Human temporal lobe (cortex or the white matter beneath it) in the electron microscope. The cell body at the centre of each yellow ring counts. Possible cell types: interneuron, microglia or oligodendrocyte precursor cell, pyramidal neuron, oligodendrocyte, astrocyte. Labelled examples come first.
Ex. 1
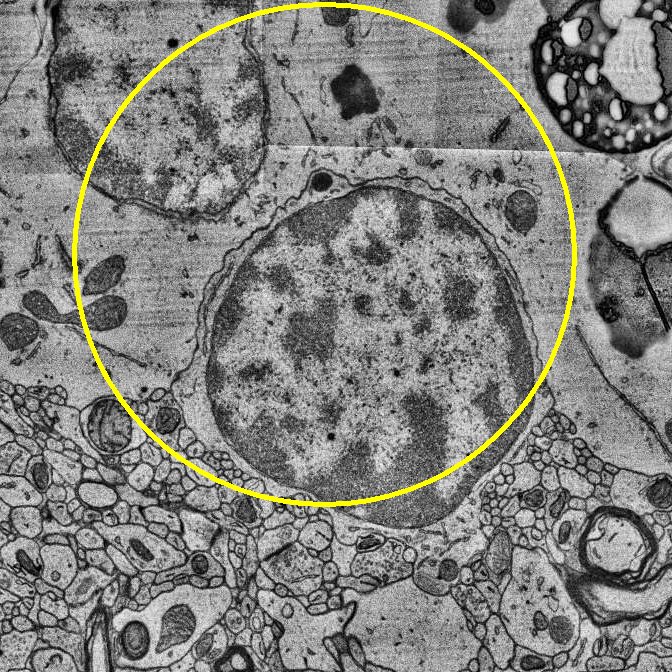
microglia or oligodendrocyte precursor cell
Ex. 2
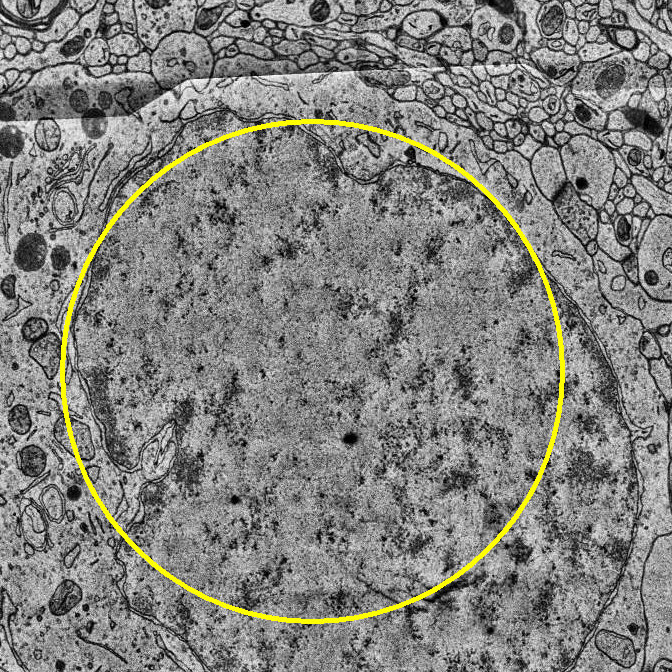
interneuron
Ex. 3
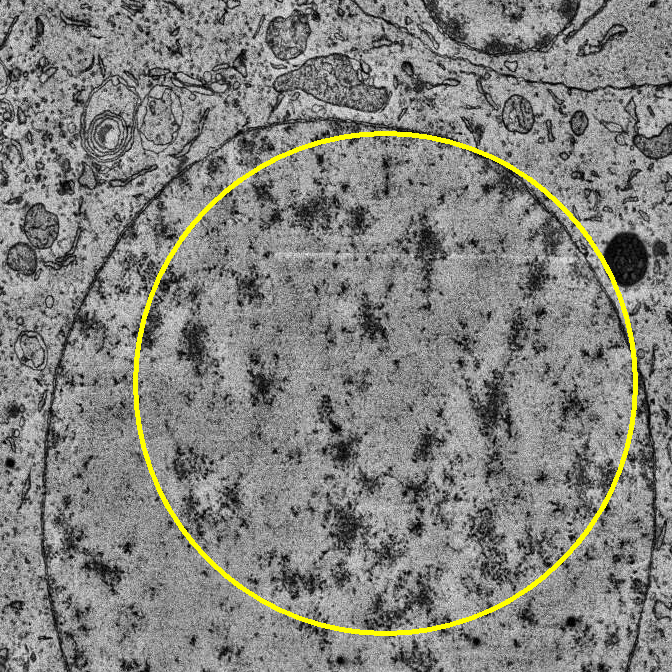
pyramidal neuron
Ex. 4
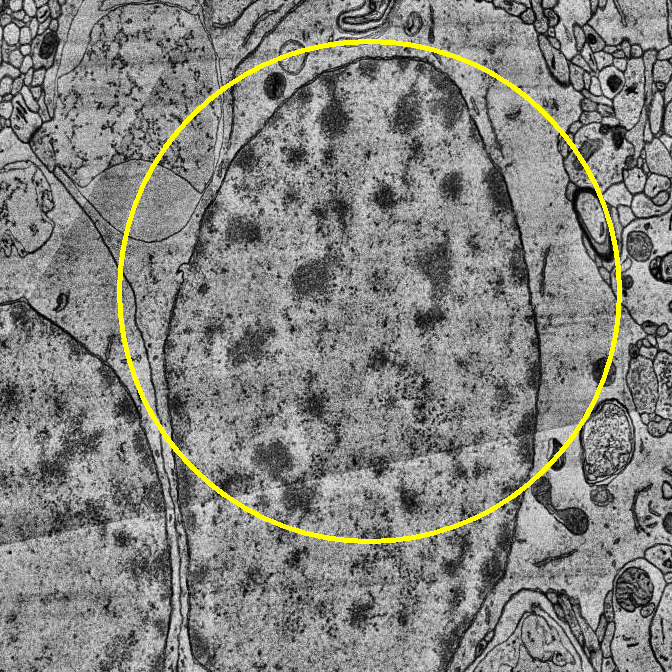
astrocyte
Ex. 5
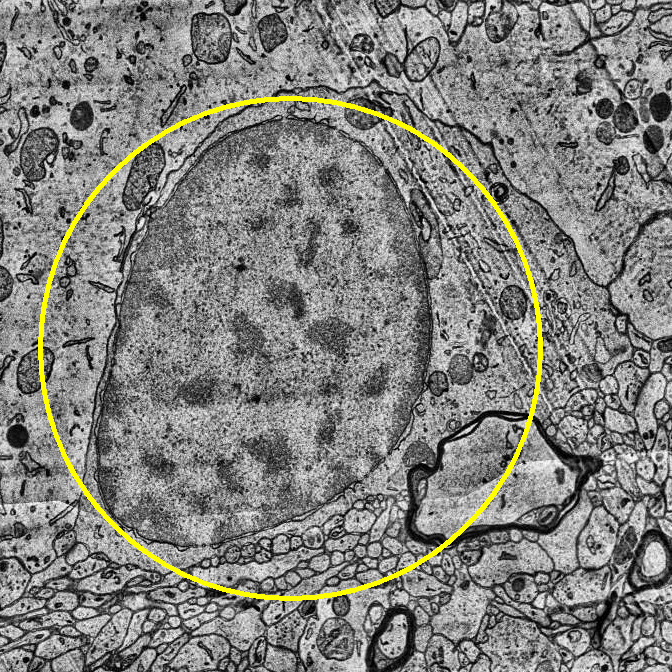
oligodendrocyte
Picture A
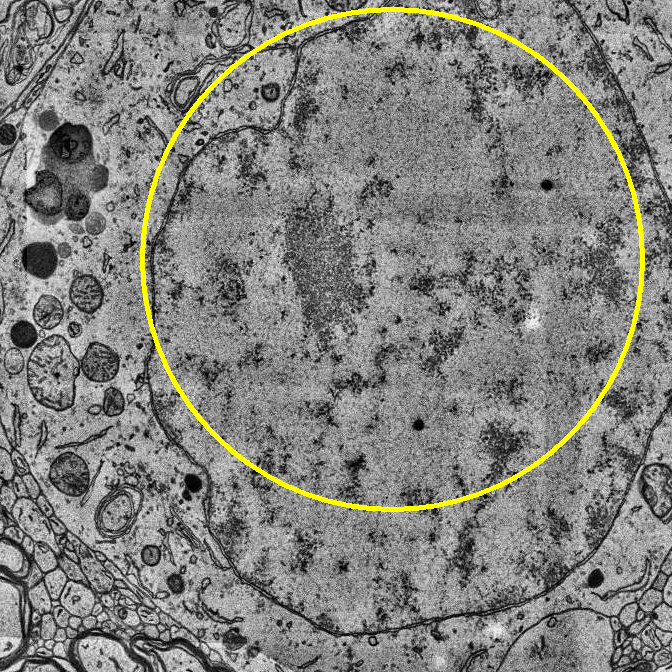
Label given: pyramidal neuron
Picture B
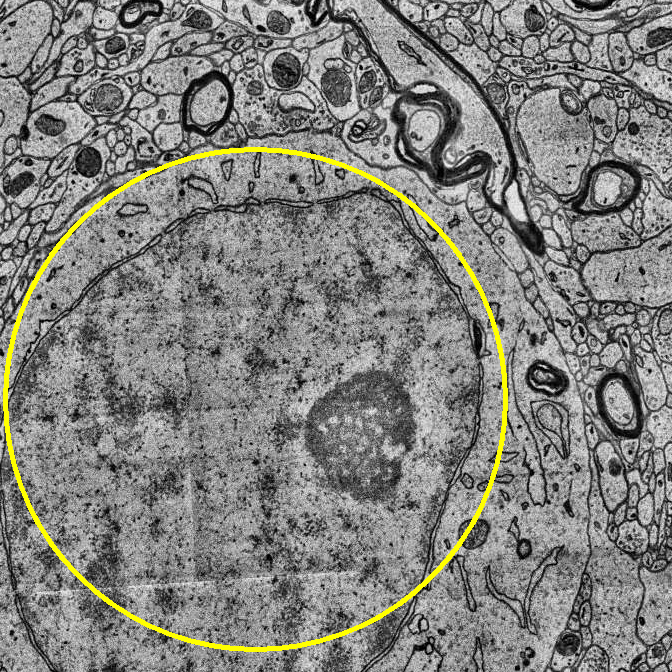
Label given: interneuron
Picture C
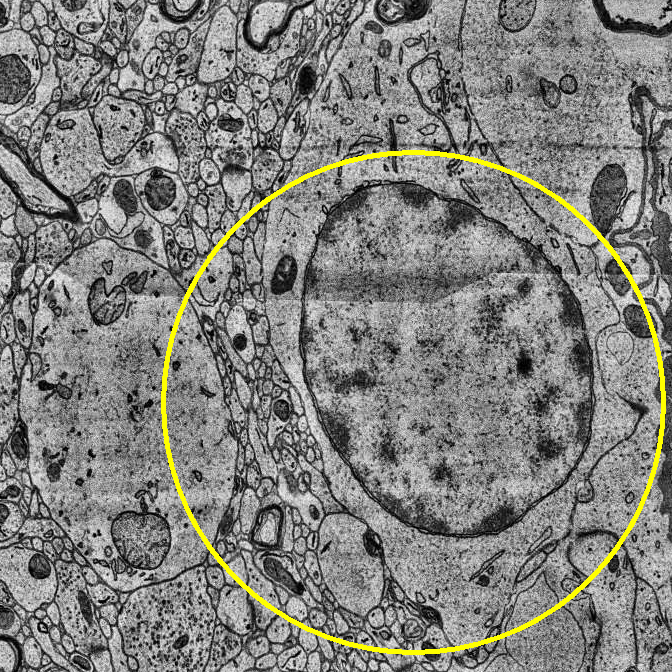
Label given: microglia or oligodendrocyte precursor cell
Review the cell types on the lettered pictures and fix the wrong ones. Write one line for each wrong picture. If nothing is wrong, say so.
All labels are correct.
